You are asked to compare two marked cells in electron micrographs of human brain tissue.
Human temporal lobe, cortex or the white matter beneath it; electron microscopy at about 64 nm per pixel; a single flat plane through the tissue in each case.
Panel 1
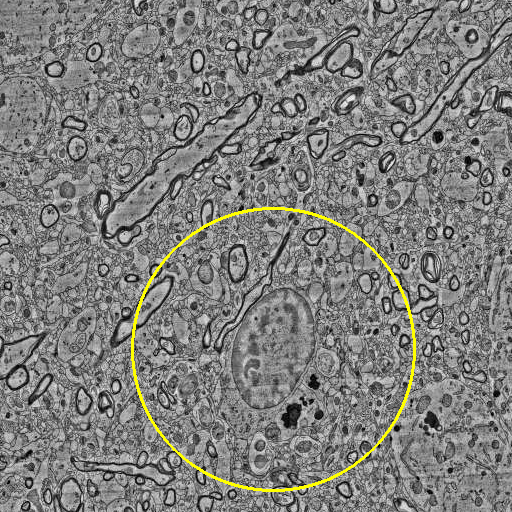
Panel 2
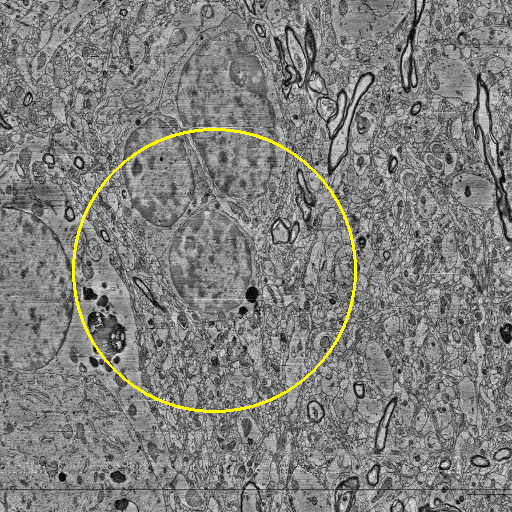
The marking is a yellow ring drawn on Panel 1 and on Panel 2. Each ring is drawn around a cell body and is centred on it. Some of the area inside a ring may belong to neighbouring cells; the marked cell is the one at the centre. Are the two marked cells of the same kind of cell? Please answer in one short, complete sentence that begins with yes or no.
Yes, the two marked cells are of the same kind.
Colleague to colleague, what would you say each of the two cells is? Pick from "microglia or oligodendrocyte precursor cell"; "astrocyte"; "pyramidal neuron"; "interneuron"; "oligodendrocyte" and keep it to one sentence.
Each of the ringed cells, first and second, is an oligodendrocyte.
